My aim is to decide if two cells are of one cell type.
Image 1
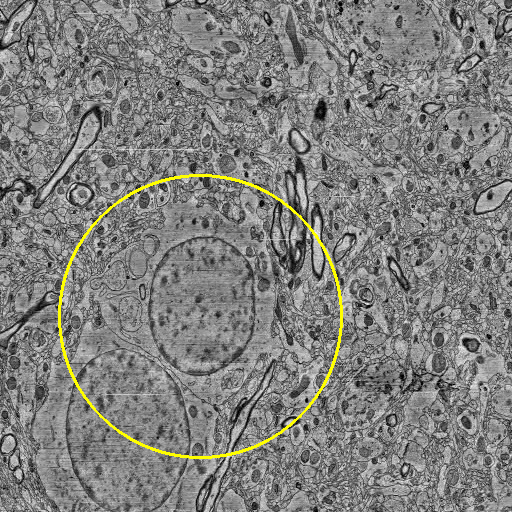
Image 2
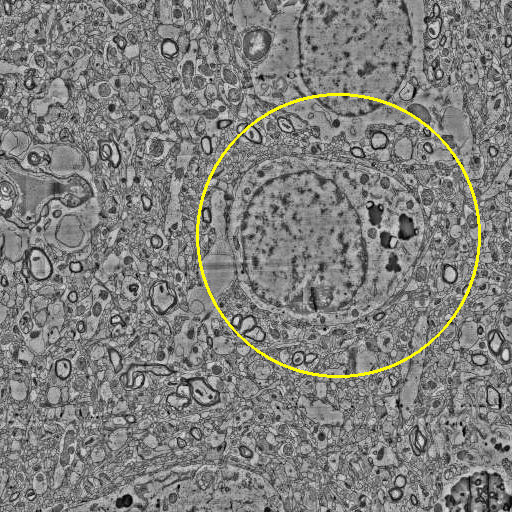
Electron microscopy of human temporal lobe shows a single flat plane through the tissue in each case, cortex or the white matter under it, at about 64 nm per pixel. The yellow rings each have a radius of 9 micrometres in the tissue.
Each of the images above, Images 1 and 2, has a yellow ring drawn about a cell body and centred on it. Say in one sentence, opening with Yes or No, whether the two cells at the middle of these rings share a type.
No, in Images 1 and 2 the cells at the middle of the rings fall into two types.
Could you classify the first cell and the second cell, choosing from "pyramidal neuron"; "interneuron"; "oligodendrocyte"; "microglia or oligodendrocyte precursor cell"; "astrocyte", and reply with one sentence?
The second cell is an interneuron, while the first is an astrocyte.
